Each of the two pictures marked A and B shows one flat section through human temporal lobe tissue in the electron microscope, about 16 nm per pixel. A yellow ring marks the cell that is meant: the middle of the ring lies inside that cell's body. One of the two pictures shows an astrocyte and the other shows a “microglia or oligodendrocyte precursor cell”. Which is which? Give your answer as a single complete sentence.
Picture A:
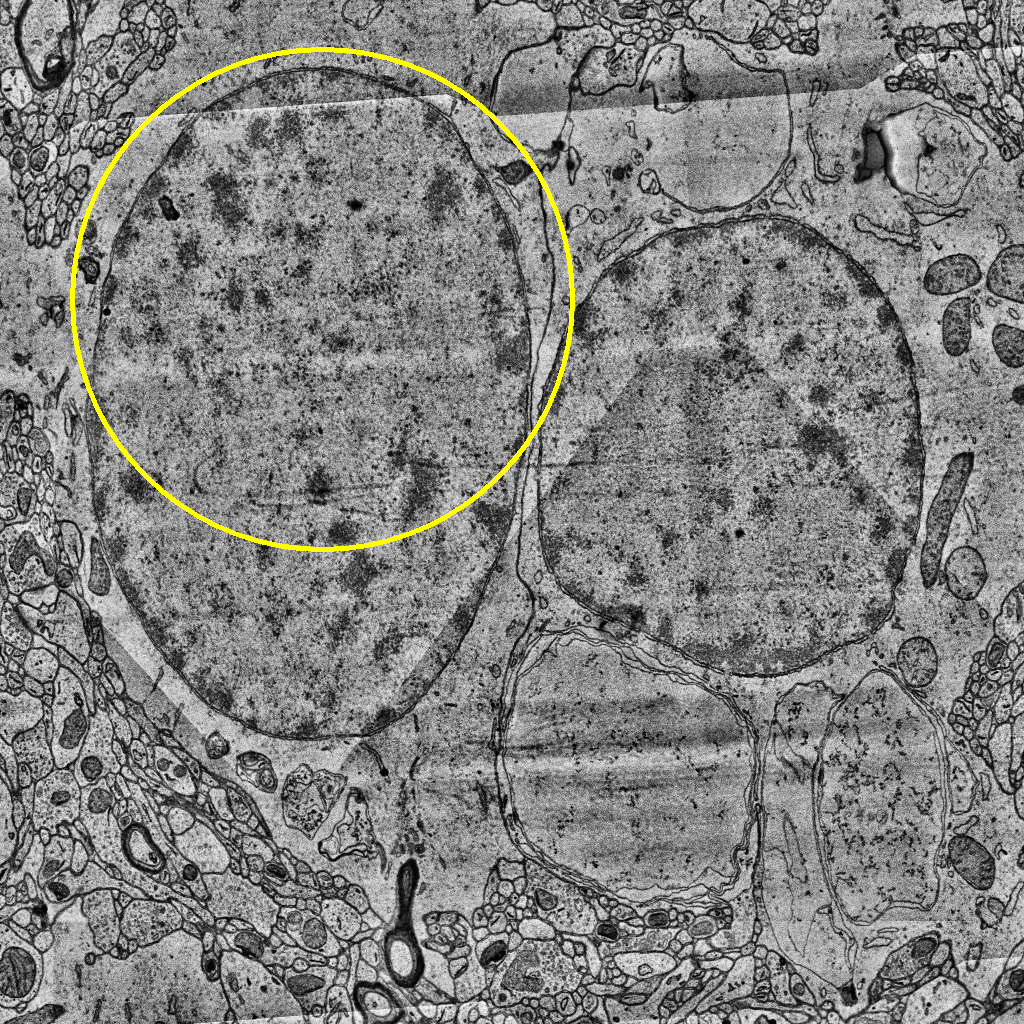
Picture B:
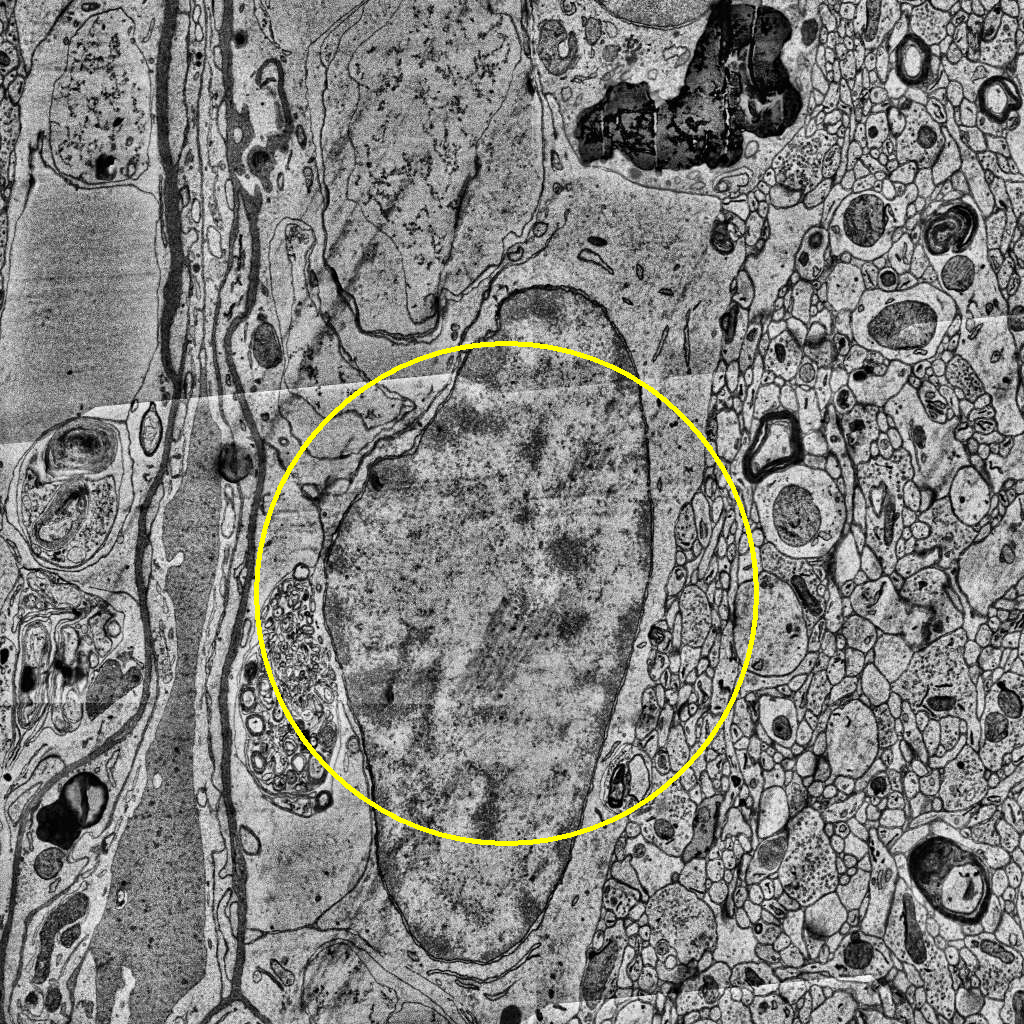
In picture A the cell is an astrocyte; in picture B, a “microglia or oligodendrocyte precursor cell”.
